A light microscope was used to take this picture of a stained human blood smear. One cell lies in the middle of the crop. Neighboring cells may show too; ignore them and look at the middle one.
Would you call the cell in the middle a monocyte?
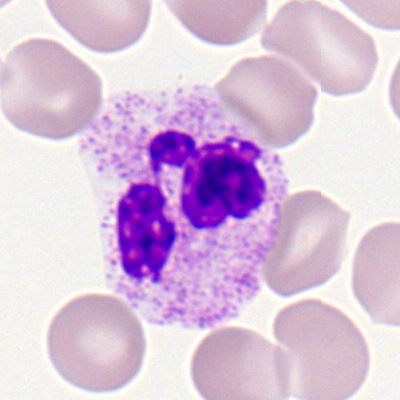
no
